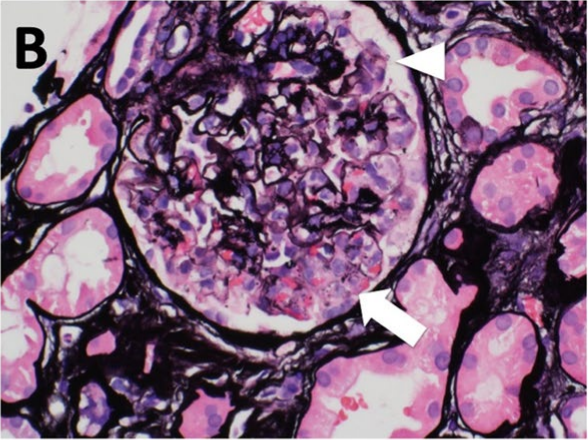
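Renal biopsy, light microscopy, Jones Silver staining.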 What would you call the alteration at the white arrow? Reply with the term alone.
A: Mesangiolysis.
